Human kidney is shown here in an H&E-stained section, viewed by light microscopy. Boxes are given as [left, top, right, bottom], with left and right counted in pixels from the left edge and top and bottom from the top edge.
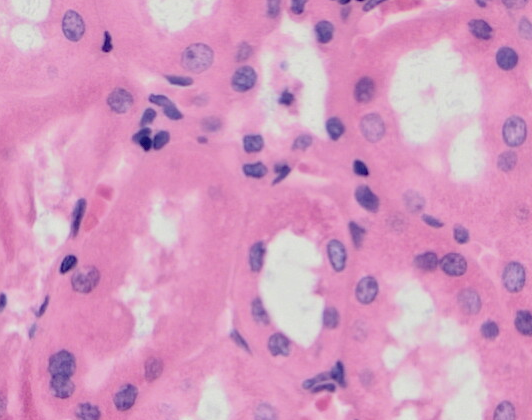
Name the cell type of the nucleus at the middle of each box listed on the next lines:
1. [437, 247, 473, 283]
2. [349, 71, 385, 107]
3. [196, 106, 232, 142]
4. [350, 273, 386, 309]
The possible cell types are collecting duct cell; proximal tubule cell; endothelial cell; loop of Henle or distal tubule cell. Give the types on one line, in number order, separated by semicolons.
proximal tubule cell; proximal tubule cell; loop of Henle or distal tubule cell; proximal tubule cell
